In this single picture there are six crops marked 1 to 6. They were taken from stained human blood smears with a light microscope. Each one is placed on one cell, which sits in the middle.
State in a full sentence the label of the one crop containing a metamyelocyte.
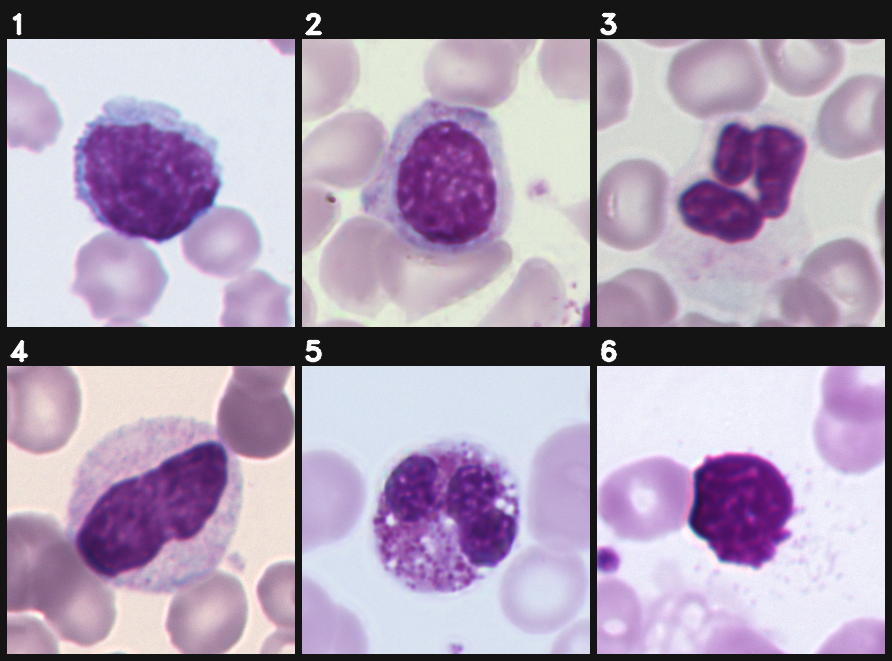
The crop marked 2 is the one that shows a metamyelocyte.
